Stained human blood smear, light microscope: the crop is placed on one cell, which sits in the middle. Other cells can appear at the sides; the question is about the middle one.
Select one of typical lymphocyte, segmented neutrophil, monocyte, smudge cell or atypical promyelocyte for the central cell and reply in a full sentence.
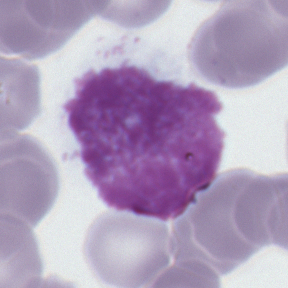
Within this crop, a smudge cell occupies the central position.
